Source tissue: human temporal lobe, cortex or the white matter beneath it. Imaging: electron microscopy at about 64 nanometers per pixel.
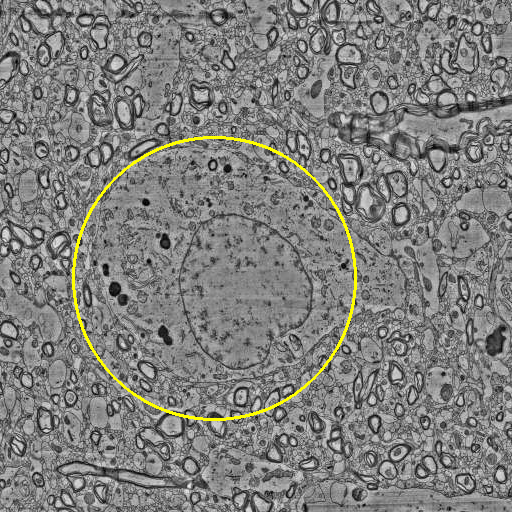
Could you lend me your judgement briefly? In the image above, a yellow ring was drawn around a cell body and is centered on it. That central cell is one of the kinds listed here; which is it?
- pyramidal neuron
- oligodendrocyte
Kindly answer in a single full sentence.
Going by the list, a pyramidal neuron is the kind at the ring's center in the picture.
